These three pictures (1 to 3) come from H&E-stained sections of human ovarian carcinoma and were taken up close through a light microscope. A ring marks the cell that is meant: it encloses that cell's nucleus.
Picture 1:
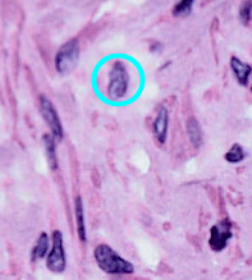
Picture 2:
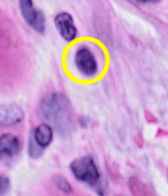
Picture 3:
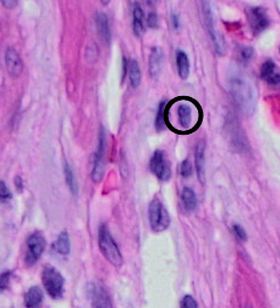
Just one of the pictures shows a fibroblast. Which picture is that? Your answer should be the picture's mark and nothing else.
1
